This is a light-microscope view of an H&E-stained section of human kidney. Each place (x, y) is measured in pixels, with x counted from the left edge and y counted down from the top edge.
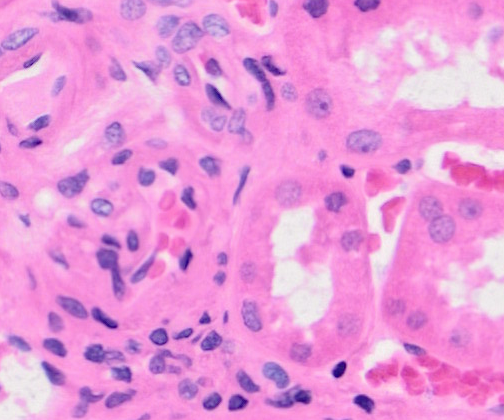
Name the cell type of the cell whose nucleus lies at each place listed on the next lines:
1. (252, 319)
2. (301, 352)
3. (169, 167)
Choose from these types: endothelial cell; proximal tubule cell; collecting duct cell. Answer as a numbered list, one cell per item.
1. proximal tubule cell
2. proximal tubule cell
3. endothelial cell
